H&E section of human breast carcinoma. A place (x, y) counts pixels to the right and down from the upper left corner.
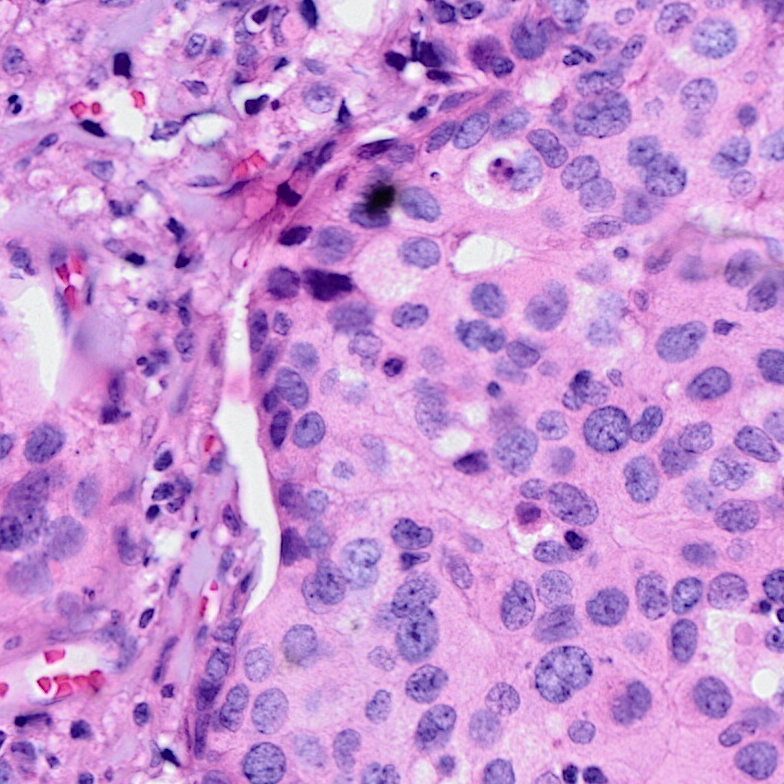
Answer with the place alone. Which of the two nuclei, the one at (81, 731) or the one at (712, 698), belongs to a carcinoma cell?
(712, 698)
